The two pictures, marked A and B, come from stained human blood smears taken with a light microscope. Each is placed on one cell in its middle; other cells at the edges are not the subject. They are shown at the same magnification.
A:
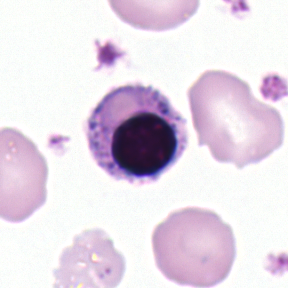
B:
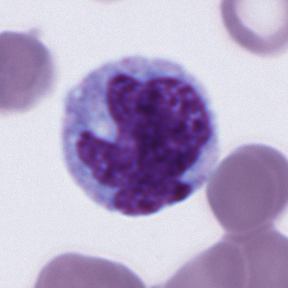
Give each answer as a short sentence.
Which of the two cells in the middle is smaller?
Crop A holds the smaller cell, since the cell in crop B covers about 2.5 times as much area.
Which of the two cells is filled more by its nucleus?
It is the cell in crop B that is filled more by its nucleus.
